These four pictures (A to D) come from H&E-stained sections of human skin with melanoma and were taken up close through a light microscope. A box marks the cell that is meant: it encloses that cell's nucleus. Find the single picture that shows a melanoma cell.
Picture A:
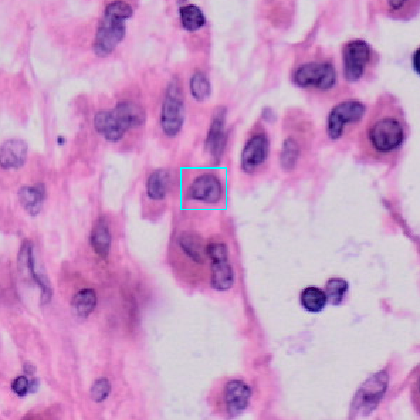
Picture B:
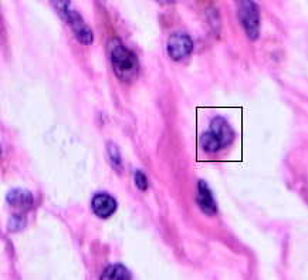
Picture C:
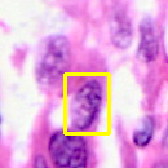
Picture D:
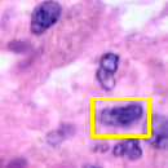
C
